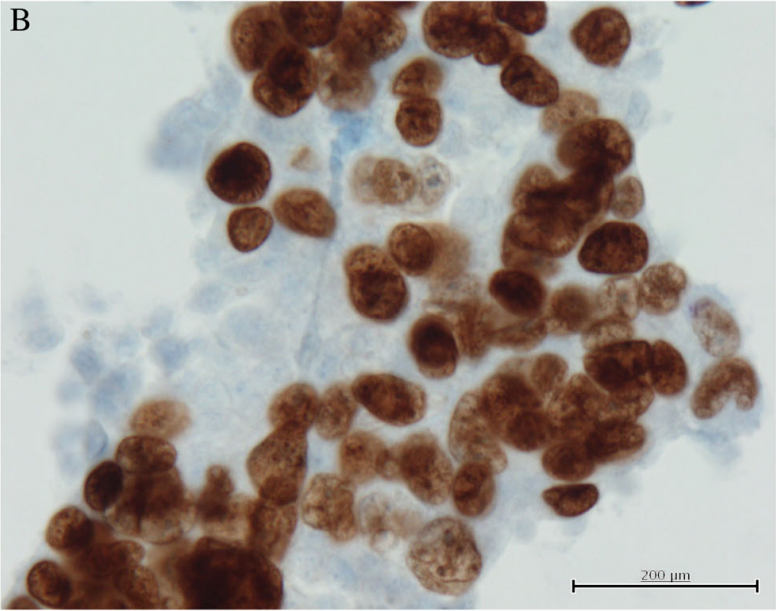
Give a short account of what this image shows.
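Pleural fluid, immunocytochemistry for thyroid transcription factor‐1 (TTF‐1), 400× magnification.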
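The nuclei are large, round to oval and of varying size, with coarse granular chromatin, while the surrounding cytoplasm is pale blue and poorly outlined. The staining intensity varies from nucleus to nucleus, some being deep brown and others lighter.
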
